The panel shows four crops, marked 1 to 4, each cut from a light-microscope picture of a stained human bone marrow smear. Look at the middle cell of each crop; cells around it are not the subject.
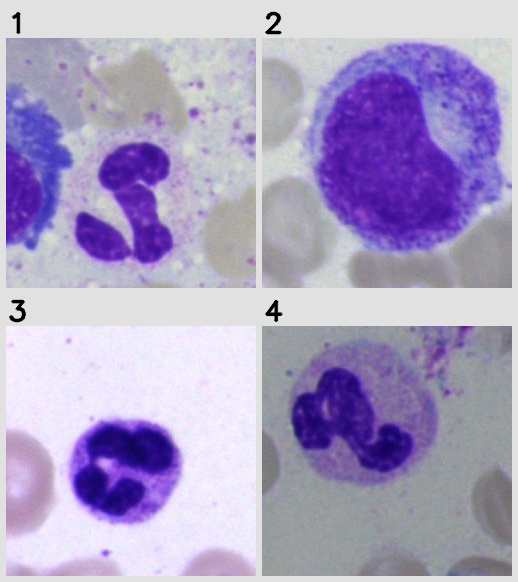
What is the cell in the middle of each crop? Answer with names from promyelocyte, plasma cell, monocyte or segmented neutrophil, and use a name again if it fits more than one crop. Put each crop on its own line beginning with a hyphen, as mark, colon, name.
- 1: segmented neutrophil
- 2: promyelocyte
- 3: segmented neutrophil
- 4: segmented neutrophil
